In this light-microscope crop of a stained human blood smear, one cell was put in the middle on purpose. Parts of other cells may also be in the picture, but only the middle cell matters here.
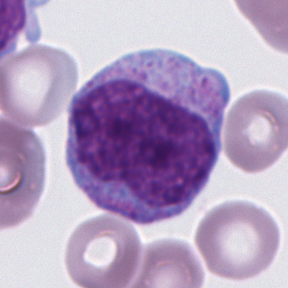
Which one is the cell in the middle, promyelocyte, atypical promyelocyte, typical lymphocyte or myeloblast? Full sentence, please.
The cell that lies at the centre of the crop is an atypical promyelocyte.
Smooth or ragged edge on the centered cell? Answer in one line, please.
Happy to help: the outline is smooth and shows no projections.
